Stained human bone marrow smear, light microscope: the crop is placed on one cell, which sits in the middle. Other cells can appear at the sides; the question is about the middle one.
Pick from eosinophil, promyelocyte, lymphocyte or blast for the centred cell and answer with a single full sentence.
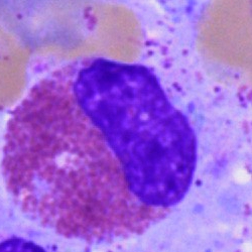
The central cell shown in this smear crop is an eosinophil.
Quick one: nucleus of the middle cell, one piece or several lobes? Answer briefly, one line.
Please observe that the nucleus consists of one compact round, oval or kidney-shaped mass.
